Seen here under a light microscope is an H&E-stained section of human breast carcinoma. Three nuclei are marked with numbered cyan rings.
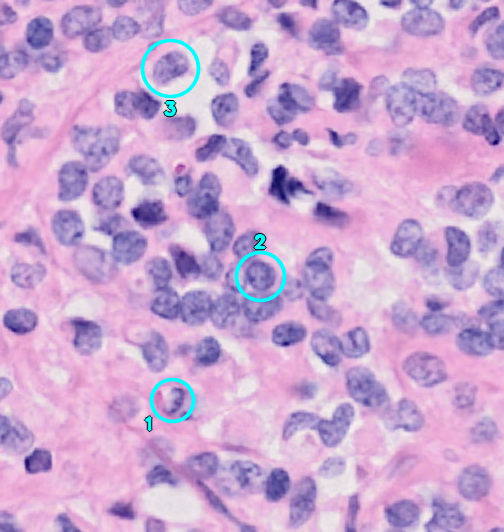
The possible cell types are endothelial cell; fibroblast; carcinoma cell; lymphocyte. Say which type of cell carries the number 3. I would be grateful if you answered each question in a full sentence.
The correct label for cell 3 is a carcinoma cell.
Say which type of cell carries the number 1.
Among the marked nuclei, number 1 belongs to an endothelial cell.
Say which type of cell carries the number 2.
In this section, the cell tagged 2 is a carcinoma cell.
